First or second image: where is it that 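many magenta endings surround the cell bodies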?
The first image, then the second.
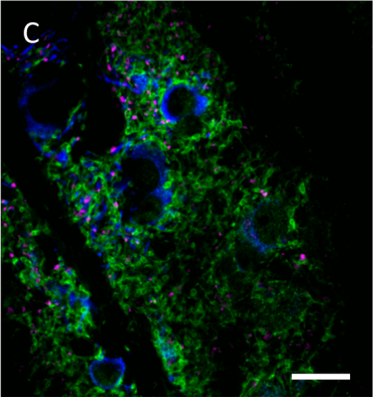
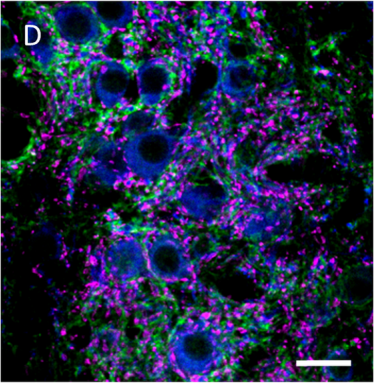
the second image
